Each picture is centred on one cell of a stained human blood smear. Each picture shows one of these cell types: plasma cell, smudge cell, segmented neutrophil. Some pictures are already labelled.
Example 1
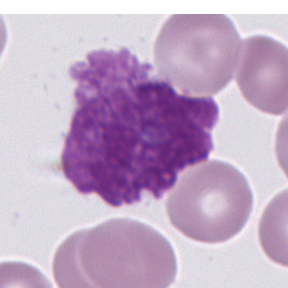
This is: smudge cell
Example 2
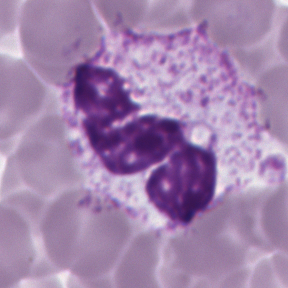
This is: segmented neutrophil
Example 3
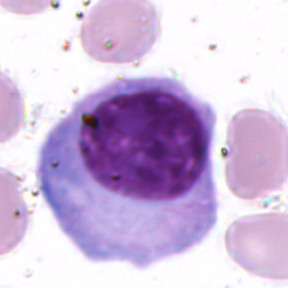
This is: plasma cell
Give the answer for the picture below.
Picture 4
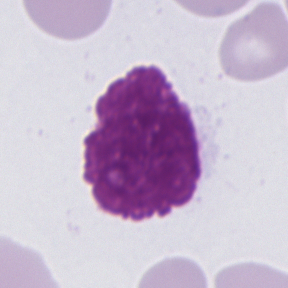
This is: smudge cell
